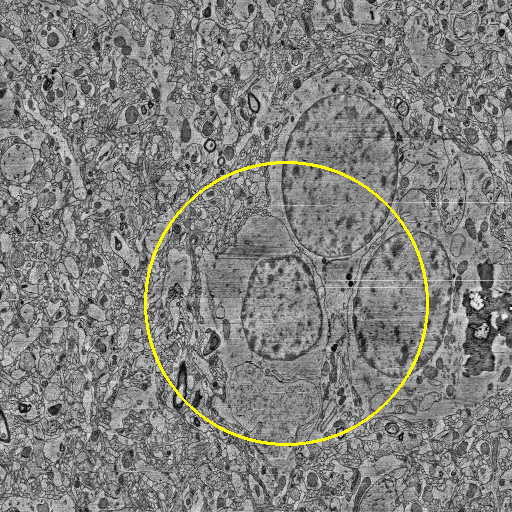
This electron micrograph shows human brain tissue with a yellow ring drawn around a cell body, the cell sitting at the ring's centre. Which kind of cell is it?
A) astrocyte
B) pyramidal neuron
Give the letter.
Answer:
A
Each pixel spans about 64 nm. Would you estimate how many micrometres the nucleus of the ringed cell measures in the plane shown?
Approximately 7 x 5 micrometres in this plane.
